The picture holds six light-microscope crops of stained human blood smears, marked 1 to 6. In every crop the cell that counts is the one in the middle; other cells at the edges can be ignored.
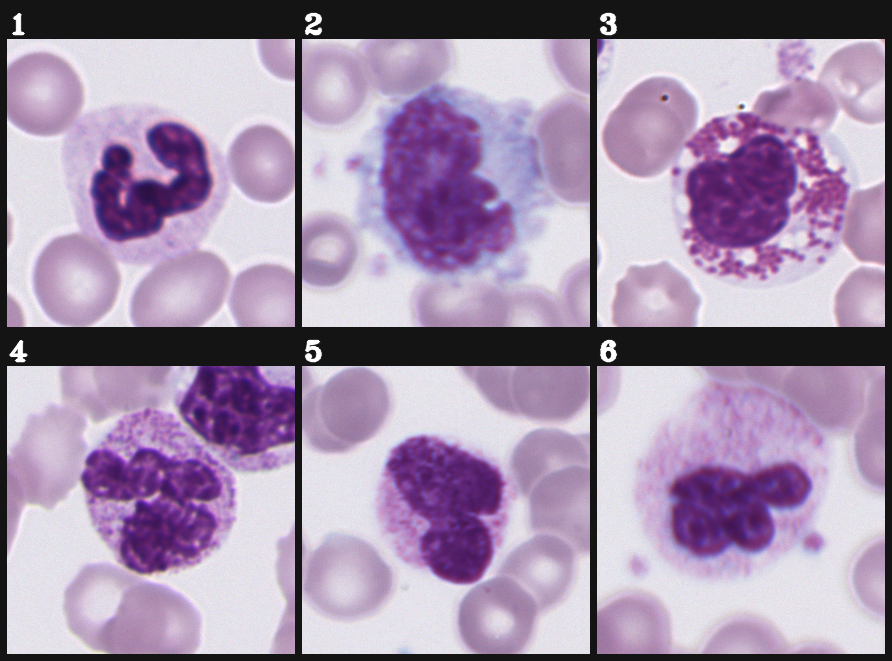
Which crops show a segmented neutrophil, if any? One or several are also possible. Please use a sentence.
The identity of the central cells in crops 1, 4, 5 and 6 is that of segmented neutrophils.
